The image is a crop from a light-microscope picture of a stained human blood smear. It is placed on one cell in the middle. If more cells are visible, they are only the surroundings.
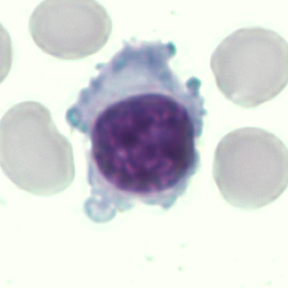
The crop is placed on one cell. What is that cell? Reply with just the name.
plasma cell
